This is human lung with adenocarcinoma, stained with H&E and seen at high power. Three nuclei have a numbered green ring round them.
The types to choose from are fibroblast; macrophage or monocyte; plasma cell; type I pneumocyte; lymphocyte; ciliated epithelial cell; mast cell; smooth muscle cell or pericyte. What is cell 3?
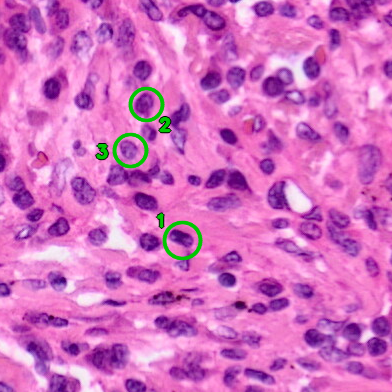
lymphocyte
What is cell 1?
lymphocyte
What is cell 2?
plasma cell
